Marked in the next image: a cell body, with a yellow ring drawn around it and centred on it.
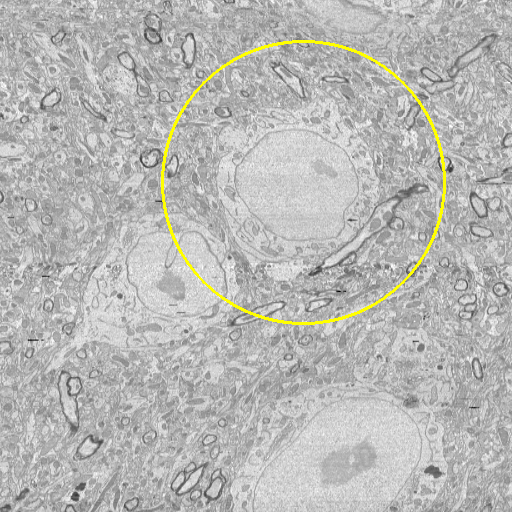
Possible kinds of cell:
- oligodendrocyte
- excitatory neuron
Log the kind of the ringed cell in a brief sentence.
The ringed cell body is that of an excitatory neuron.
